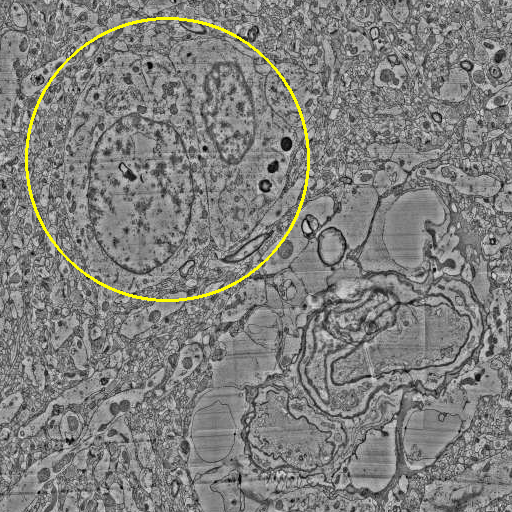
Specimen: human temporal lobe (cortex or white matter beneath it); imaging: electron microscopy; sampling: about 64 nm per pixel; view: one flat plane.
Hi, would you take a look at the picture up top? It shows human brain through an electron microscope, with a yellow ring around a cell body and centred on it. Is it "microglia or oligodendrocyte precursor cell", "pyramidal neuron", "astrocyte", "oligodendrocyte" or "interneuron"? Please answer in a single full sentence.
The best fit for the cell in the middle of the ring is a pyramidal neuron, I reckon.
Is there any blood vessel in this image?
Yes, the picture includes a blood vessel.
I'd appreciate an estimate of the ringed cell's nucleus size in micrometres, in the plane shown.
The nucleus of the ringed cell is approximately 10 by 7 micrometres in this plane.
